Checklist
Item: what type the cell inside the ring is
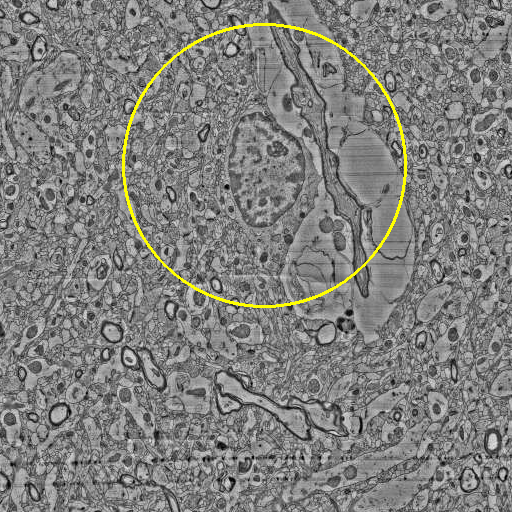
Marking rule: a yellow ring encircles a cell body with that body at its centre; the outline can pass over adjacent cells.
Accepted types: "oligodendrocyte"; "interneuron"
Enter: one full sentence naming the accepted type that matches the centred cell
The entry is that an oligodendrocyte lies at the centre of the yellow ring.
